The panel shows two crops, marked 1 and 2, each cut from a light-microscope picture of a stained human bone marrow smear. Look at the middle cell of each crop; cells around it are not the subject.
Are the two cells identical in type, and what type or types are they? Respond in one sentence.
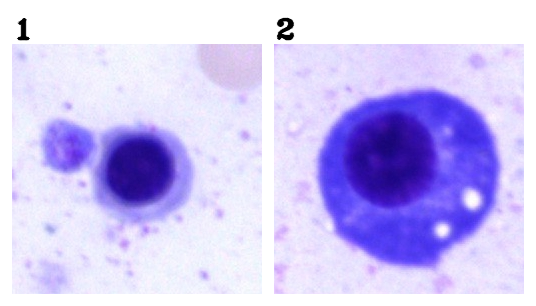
No, crop 1 corresponds to an erythroblast, while crop 2 corresponds to a plasma cell.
